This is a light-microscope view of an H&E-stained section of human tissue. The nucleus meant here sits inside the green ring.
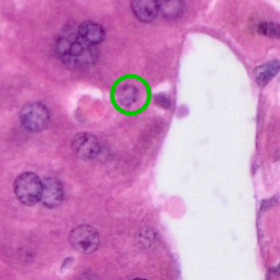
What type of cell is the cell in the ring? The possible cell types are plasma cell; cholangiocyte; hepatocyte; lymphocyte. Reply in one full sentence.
In the stained section, the cell in the ring is a cholangiocyte.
